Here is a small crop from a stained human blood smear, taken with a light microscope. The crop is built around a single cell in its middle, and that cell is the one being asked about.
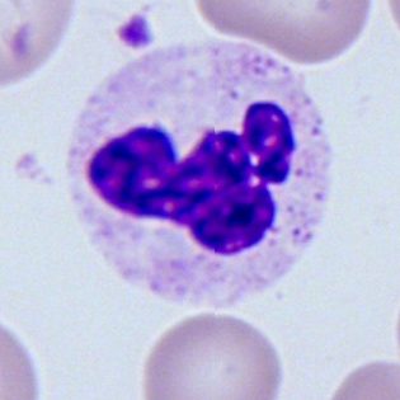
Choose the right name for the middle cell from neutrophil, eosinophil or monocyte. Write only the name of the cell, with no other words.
neutrophil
